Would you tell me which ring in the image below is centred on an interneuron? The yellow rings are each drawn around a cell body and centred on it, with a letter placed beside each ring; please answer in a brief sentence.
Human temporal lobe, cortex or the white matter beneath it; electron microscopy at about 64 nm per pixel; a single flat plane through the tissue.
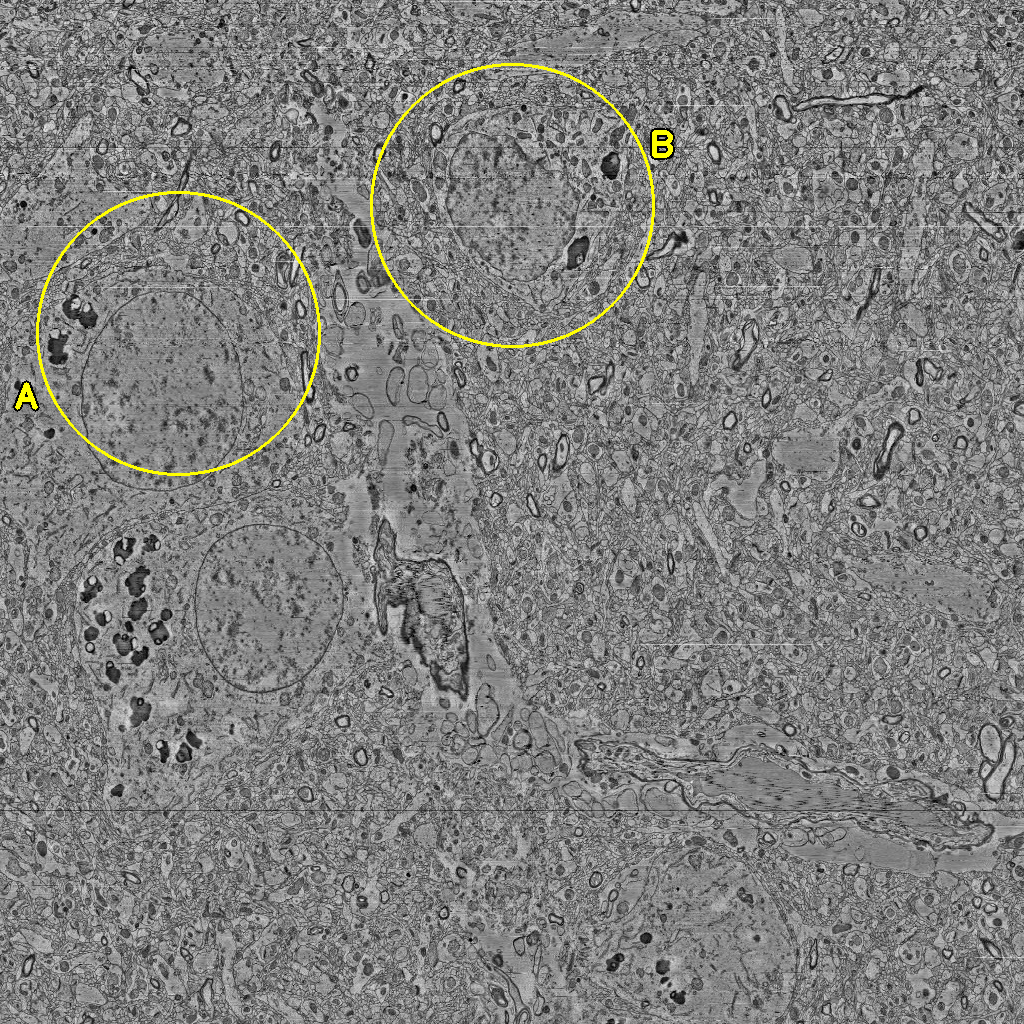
Ring B is centred on it.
